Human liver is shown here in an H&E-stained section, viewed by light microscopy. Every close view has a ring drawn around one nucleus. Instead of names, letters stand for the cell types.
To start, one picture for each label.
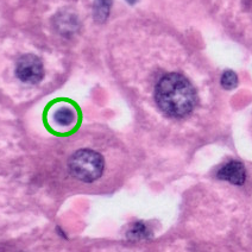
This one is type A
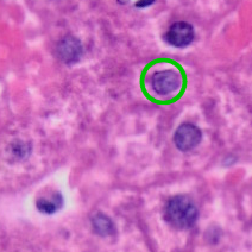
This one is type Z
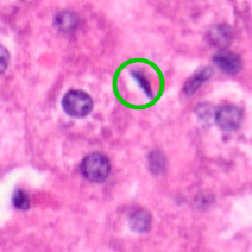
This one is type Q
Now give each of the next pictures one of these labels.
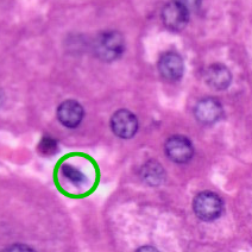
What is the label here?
type A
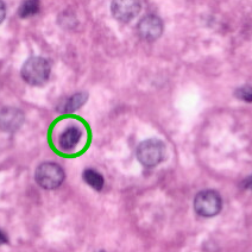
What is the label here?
type A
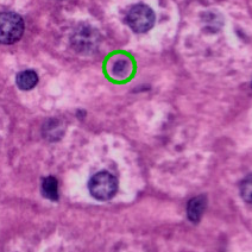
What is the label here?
type A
